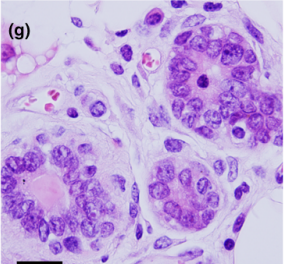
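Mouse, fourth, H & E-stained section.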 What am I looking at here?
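Section of mammary fat pad with several round epithelial structures cut in cross-section, each lined by crowded cells with large, round to oval purple nuclei and pale pink cytoplasm. Small central lumens hold pale pink material. The epithelial profiles are set in a loose, pale connective tissue with scattered spindle-shaped nuclei. Small vessels containing red blood cells lie in the stroma beside them.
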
